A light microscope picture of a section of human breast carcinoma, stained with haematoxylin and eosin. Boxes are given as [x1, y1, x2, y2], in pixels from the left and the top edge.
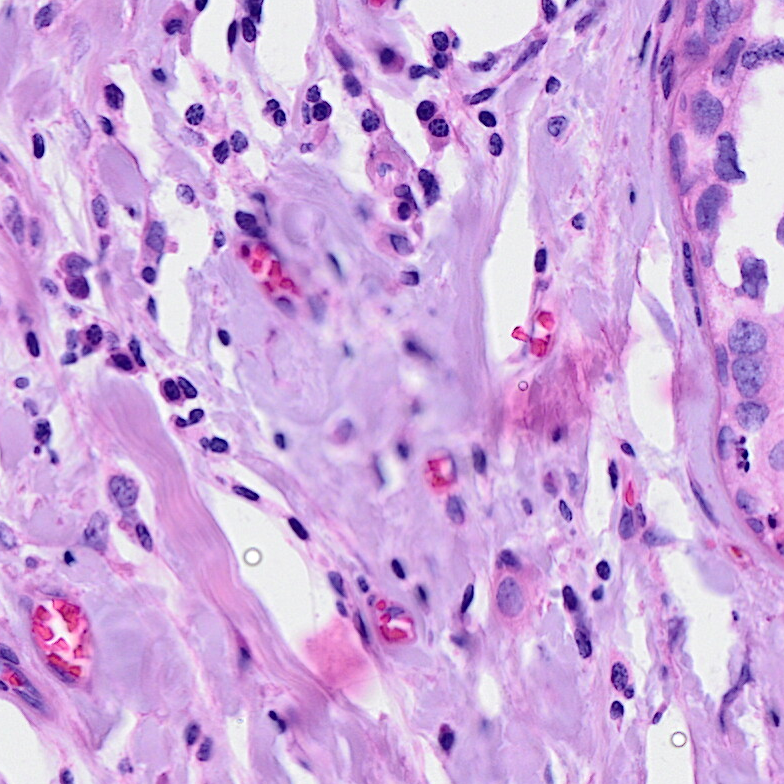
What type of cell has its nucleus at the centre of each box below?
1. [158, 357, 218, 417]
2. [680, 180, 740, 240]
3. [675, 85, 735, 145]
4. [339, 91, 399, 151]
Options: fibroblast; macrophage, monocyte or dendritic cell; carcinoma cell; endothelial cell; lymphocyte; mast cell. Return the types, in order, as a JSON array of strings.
["lymphocyte", "carcinoma cell", "carcinoma cell", "lymphocyte"]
